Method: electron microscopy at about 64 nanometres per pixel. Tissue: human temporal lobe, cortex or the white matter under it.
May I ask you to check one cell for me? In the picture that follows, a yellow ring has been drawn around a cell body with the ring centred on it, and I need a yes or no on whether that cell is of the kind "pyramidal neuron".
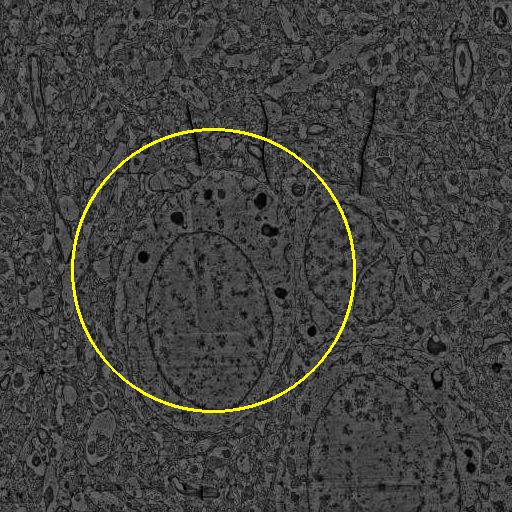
Yes, it is that kind of cell.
